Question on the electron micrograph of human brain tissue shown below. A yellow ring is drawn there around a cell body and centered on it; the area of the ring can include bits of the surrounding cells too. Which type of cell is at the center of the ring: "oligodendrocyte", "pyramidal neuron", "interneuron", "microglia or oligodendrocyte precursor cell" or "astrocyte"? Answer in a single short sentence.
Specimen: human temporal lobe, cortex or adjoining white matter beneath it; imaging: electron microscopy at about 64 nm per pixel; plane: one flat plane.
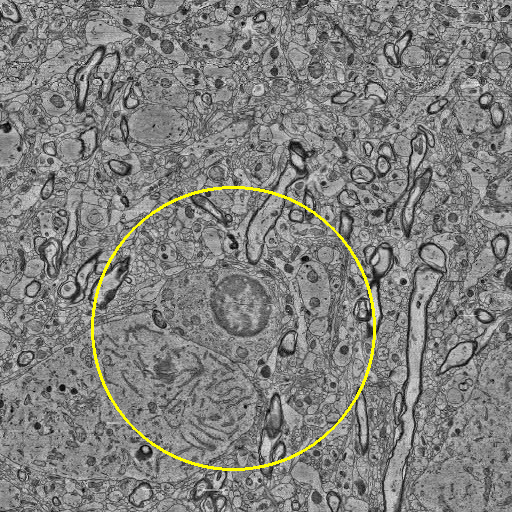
The ring is centered on an oligodendrocyte.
